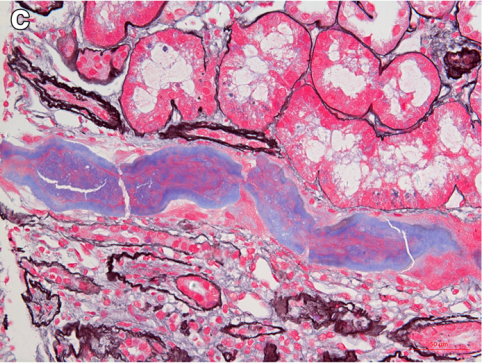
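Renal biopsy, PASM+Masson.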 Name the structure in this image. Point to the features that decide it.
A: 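Protein casts. Pink tubular epithelium lies above it.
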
